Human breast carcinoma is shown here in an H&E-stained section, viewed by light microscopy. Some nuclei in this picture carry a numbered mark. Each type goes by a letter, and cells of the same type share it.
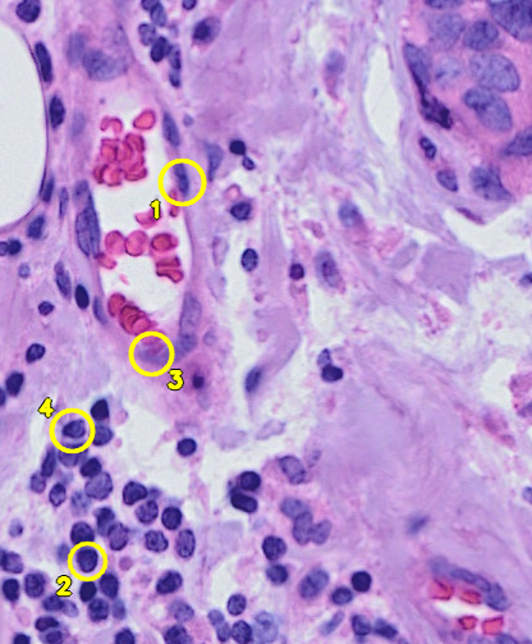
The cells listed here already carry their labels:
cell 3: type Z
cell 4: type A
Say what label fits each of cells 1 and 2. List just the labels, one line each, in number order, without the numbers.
type Z
type A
